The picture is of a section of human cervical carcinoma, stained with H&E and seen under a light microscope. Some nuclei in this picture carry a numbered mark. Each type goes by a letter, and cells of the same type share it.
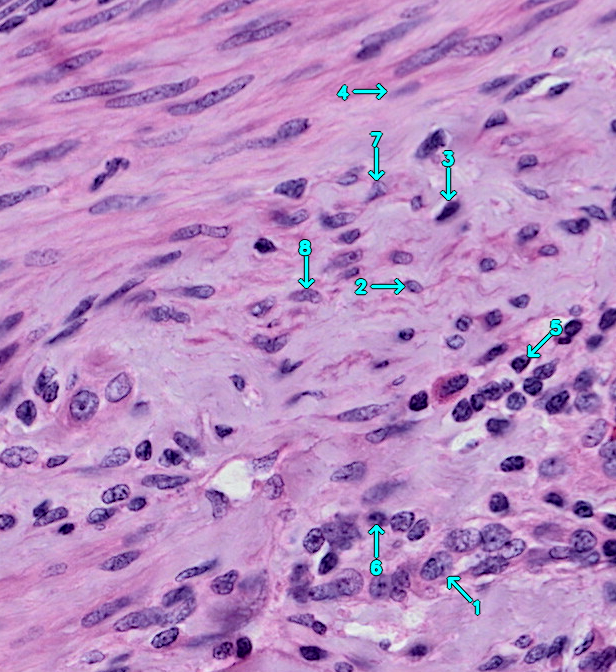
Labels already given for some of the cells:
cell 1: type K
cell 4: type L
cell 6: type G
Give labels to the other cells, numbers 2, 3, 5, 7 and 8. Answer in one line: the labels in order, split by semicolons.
type L; type G; type G; type L; type L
